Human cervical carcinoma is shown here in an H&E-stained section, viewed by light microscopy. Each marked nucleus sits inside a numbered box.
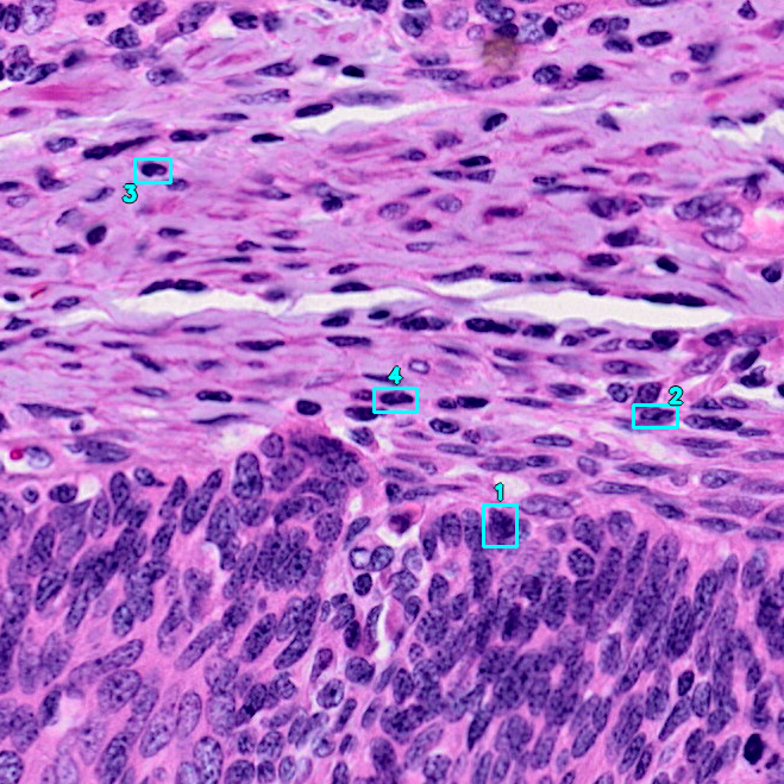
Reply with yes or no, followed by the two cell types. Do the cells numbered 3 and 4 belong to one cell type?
Yes, sure, cells 3 and 4 are both lymphocytes.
